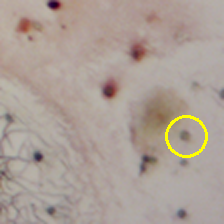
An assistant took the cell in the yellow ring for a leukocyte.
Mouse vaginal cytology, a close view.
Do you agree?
I agree, it is a leukocyte.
